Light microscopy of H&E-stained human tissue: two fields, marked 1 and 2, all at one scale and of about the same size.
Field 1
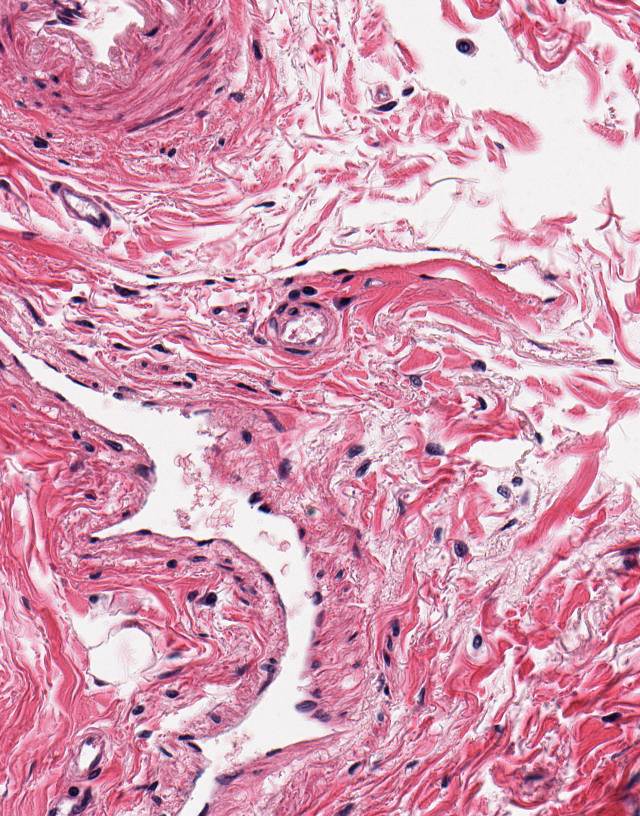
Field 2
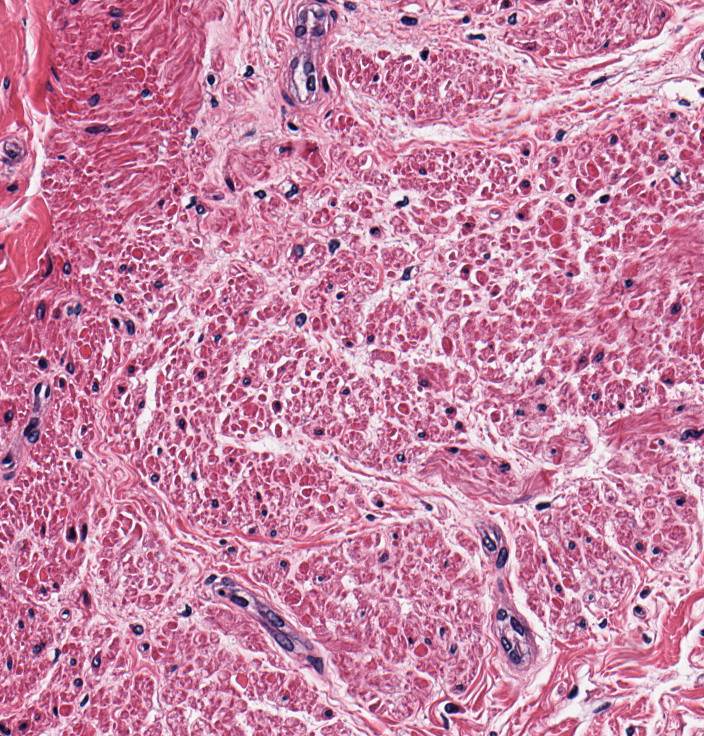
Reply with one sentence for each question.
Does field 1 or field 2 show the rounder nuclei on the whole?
Rounder nuclei lie in field 2.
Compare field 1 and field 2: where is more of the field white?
Field 1 has more white space.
